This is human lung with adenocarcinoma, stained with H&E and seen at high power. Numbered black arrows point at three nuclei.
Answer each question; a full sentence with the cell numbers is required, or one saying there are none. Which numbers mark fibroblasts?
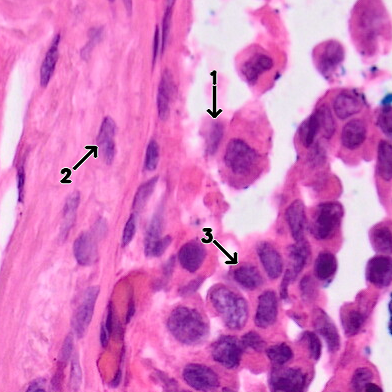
Only cell 2 should be marked as a fibroblast.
